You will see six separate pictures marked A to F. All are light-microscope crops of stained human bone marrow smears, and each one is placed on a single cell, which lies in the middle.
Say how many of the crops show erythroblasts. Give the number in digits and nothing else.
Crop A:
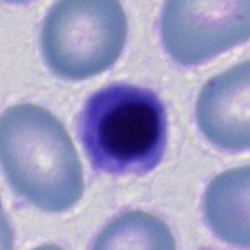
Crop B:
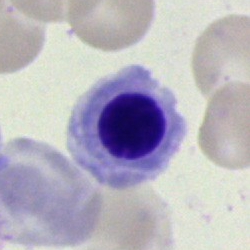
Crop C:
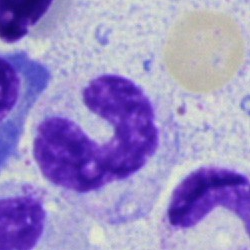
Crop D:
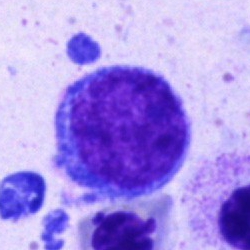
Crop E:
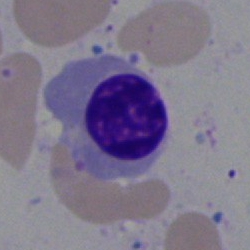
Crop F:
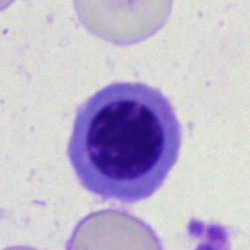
4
